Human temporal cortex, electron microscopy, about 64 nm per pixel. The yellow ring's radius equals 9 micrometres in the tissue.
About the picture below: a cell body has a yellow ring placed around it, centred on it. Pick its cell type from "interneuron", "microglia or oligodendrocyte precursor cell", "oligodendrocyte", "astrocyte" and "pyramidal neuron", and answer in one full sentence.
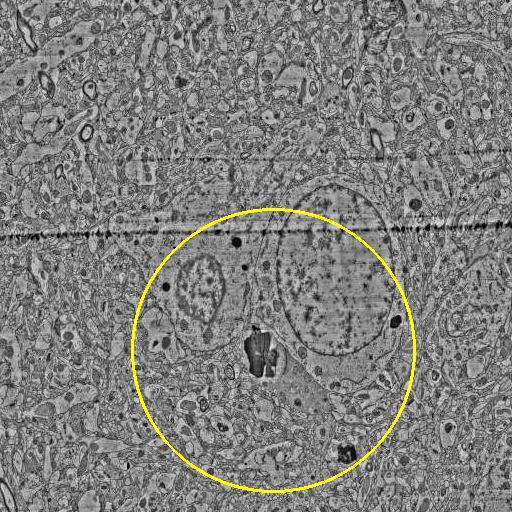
In the picture, an oligodendrocyte is the cell sitting at the centre of the yellow ring.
